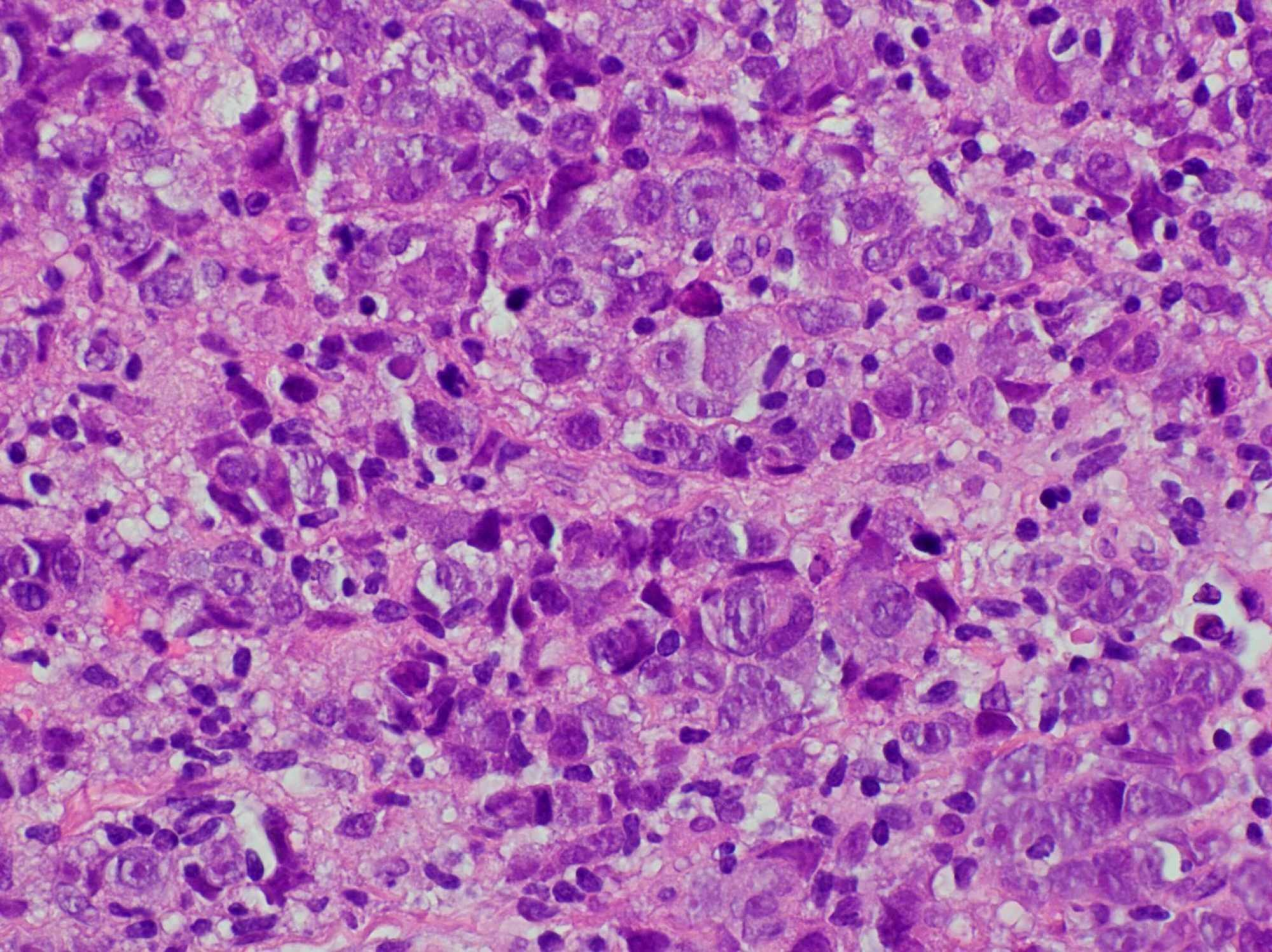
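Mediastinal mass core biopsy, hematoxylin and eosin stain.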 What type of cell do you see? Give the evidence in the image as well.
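Large many-sided cells vary widely in size. Large cells are interspersed with small dark round cells. So: polygonal tumor cells of varying size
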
